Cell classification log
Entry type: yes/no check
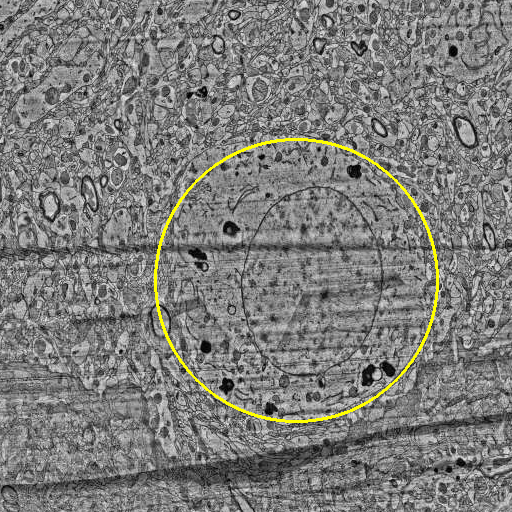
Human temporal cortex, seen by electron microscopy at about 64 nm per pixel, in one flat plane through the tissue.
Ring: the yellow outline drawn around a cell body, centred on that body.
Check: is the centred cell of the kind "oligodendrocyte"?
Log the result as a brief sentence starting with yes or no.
No, the cell is of another kind.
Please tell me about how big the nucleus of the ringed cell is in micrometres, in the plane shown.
Roughly 12 by 9 micrometres is the size of the nucleus in this plane.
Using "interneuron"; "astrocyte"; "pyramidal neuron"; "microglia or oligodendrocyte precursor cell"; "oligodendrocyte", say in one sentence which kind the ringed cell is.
So the cell at the centre is a pyramidal neuron.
